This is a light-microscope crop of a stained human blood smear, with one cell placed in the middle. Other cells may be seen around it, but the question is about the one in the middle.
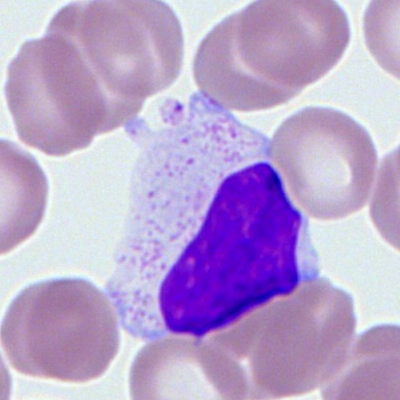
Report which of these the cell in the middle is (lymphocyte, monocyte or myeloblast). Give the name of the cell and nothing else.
lymphocyte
